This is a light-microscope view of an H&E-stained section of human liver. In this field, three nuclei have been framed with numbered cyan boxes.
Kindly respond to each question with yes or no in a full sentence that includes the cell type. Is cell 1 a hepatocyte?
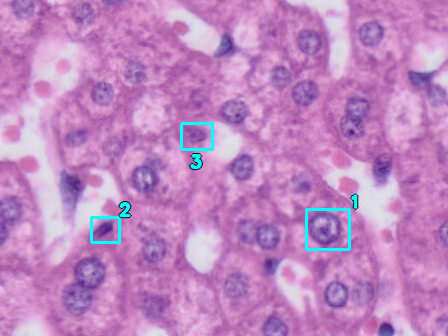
Yes, that one, number 1, is a hepatocyte.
